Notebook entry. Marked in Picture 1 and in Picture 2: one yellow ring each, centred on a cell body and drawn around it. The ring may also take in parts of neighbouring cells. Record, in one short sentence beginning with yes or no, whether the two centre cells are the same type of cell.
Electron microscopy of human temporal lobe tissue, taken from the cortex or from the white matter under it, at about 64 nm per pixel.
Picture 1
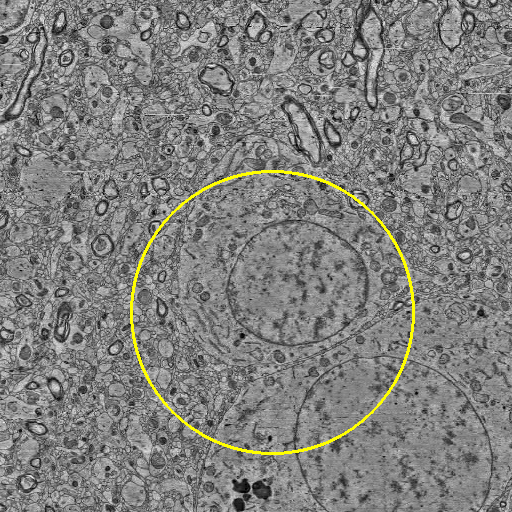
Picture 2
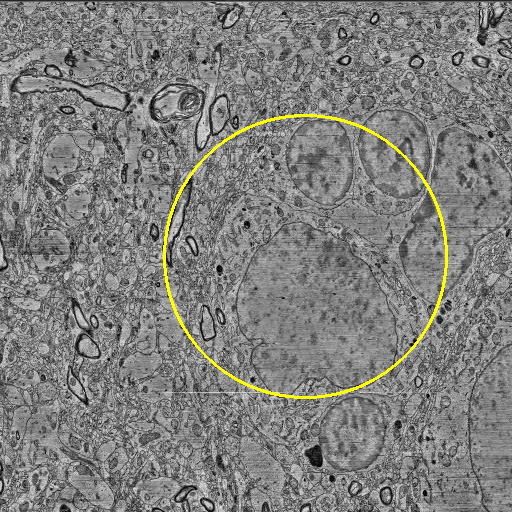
Yes, both are the same type of cell.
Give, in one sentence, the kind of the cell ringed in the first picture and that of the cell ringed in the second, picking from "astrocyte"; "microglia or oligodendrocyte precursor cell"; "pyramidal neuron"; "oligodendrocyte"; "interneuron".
The second cell is an interneuron, just as the first is.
